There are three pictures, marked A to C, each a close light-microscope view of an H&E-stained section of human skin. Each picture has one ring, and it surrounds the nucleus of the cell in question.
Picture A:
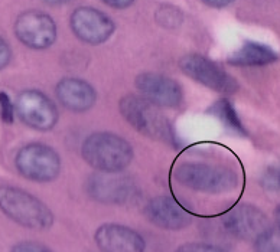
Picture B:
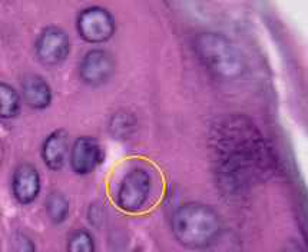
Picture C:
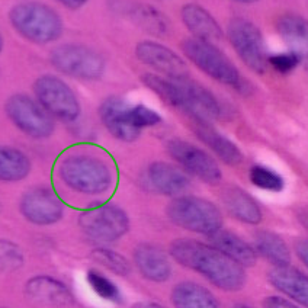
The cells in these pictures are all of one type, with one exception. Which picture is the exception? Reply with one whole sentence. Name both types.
The different one is picture A; it shows a basal keratinocyte, whereas all the others show suprabasal keratinocytes.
